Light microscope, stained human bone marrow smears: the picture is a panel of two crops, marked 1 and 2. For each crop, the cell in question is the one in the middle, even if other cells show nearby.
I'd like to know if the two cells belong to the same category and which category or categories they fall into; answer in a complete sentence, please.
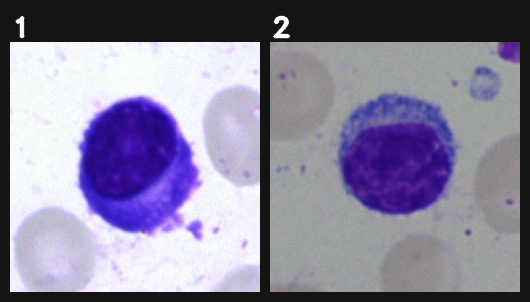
No, as for crop 1, it shows a plasma cell, and crop 2 shows a lymphocyte.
